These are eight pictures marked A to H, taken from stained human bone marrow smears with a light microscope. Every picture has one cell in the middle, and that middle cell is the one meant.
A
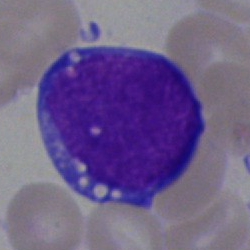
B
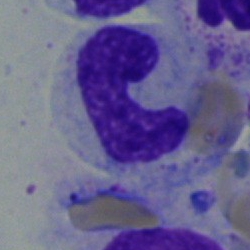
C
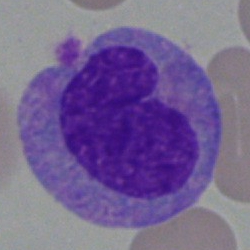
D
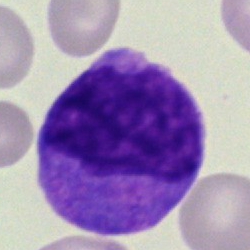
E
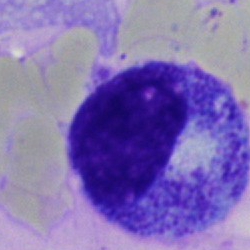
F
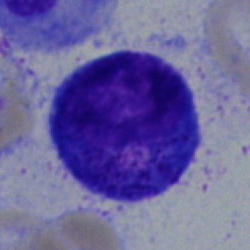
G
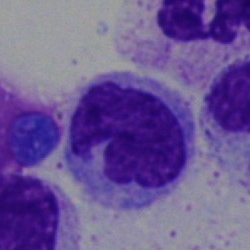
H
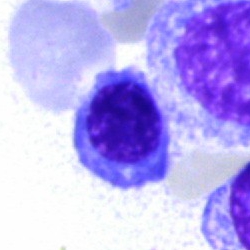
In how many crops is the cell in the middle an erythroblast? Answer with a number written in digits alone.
1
